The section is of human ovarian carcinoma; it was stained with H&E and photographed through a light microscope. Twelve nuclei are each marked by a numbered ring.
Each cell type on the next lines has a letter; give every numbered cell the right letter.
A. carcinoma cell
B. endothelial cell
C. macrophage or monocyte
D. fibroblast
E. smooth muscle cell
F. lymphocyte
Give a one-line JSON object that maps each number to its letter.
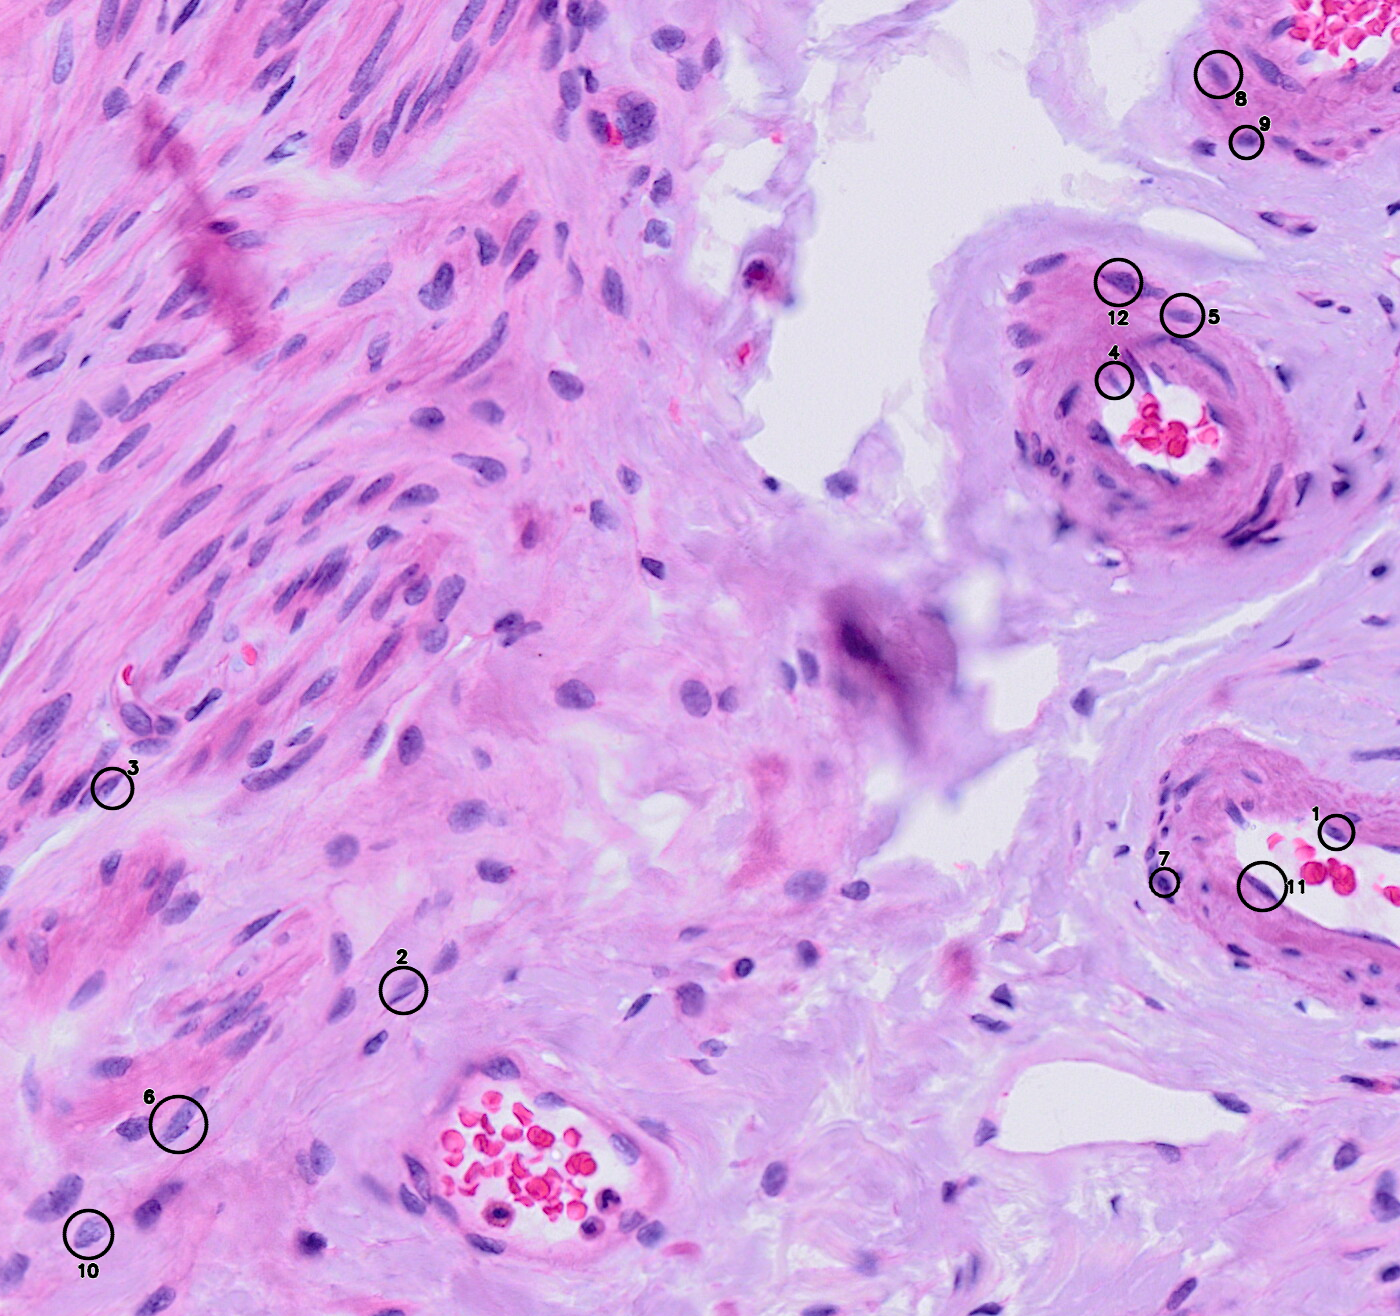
{"1": "B", "2": "D", "3": "E", "4": "B", "5": "E", "6": "E", "7": "E", "8": "E", "9": "E", "10": "D", "11": "B", "12": "E"}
